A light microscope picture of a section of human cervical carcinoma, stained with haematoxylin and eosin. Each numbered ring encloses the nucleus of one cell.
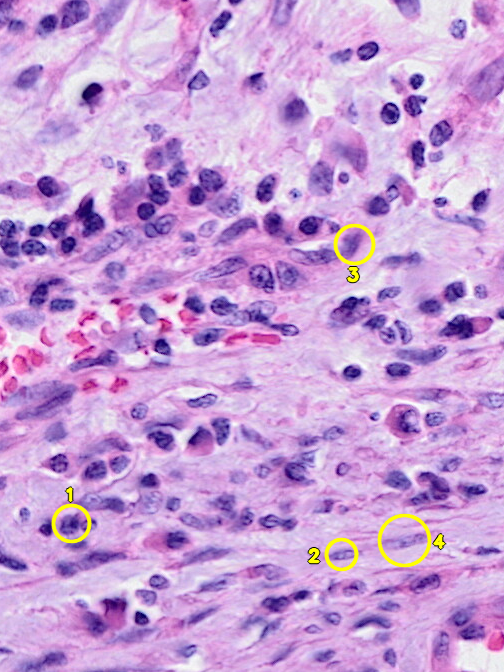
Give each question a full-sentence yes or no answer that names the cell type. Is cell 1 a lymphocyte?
Yes, the cell carrying number 1 is a lymphocyte.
